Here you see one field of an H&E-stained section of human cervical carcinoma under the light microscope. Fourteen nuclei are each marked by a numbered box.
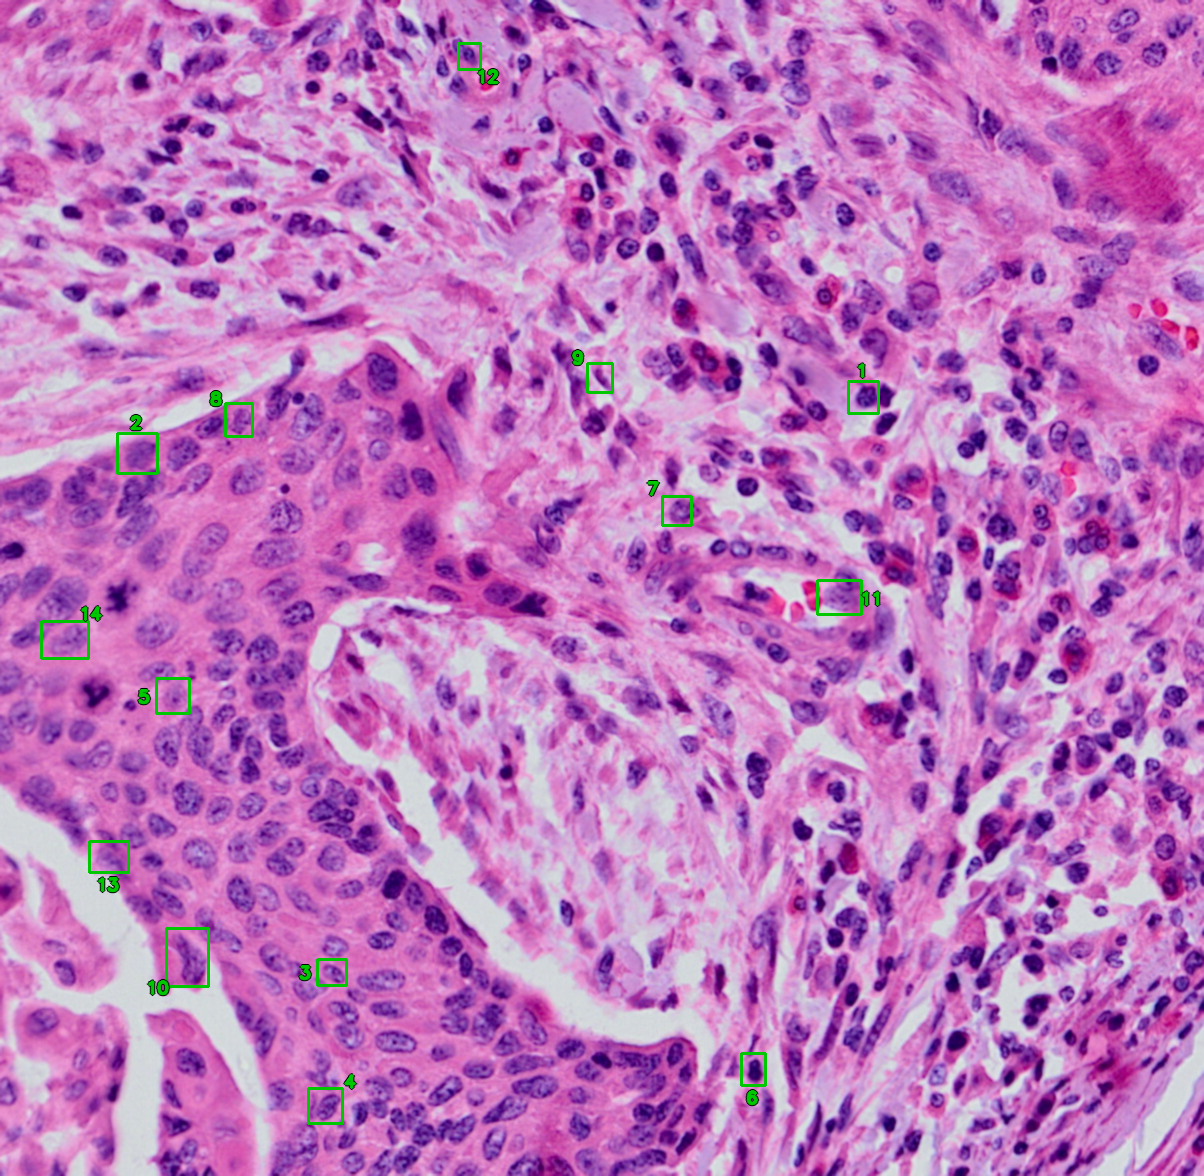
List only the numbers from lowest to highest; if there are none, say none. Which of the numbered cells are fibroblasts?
9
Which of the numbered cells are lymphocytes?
1, 6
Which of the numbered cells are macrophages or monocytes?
7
